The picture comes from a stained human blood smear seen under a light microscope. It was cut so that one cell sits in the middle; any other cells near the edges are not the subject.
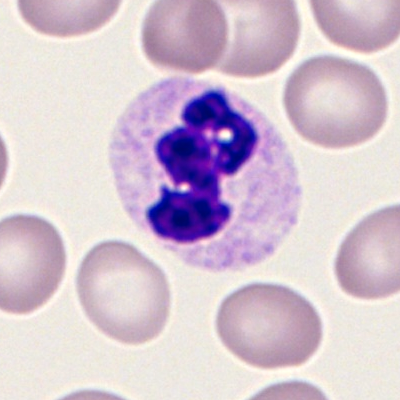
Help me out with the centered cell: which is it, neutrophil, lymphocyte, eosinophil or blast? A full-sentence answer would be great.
To answer, the cell in the center of the crop is a neutrophil.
